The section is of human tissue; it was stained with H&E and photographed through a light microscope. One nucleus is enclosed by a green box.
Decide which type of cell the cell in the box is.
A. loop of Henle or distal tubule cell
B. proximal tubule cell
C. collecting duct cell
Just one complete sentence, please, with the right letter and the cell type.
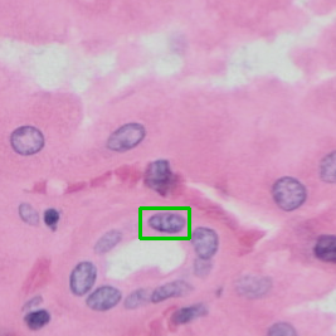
Under option C, the cell in the box is listed as a collecting duct cell, which is correct.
